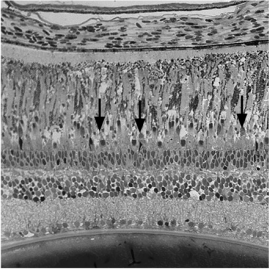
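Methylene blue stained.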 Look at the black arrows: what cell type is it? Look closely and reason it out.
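Cones. The arrows point to scattered photoreceptor profiles just above the outer nuclear layer. These profiles are sparse and widely spaced.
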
